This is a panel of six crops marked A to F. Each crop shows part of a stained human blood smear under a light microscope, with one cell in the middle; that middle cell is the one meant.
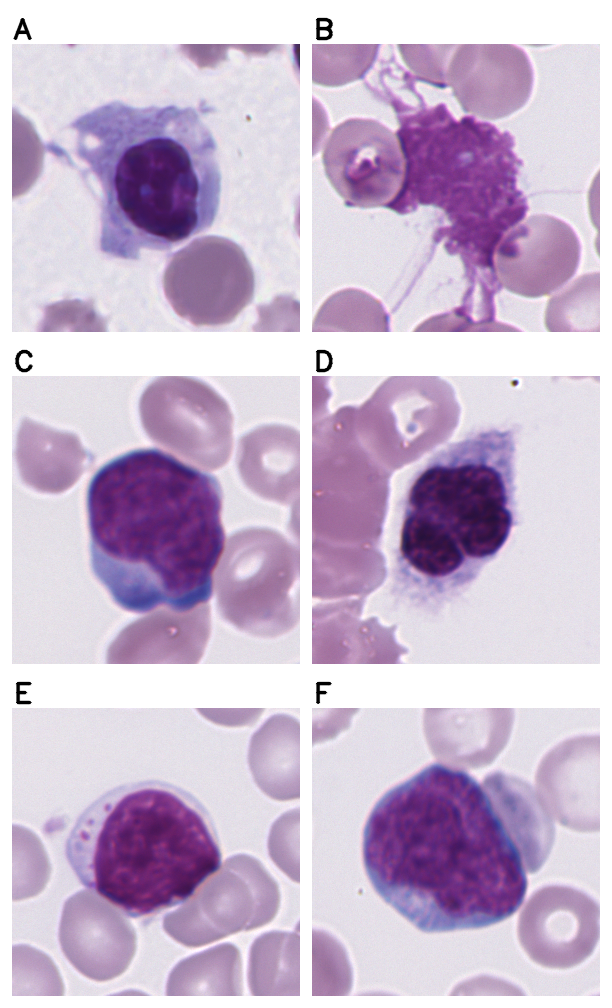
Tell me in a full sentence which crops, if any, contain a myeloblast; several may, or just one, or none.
Found at the centre of crops C and F are myeloblasts.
